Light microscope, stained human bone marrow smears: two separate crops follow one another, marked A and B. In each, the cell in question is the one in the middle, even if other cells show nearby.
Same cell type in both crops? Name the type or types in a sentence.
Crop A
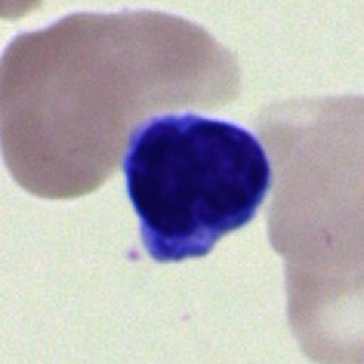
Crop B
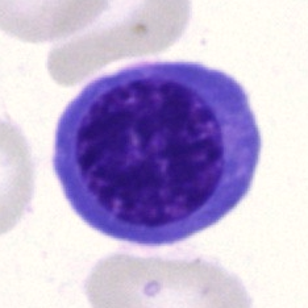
No, a lymphocyte is centred in crop A, and an erythroblast is centred in crop B.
